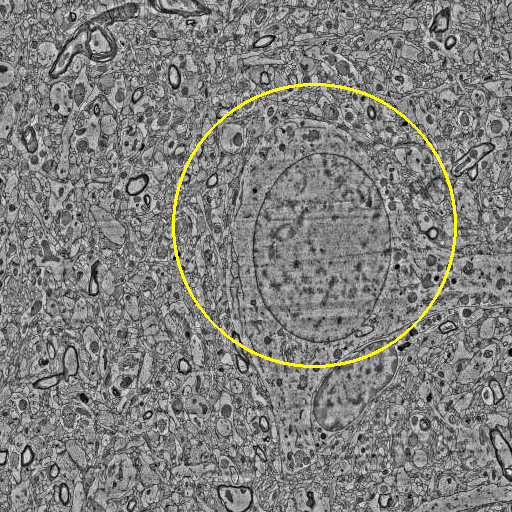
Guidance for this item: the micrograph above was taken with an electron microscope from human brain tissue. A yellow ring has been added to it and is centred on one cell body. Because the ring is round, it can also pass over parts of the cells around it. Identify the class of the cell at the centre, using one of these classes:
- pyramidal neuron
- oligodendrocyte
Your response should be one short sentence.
The ring surrounds the body of a pyramidal neuron.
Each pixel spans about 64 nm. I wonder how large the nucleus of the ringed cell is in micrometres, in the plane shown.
In this plane, the nucleus is roughly 12 by 9 micrometres.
